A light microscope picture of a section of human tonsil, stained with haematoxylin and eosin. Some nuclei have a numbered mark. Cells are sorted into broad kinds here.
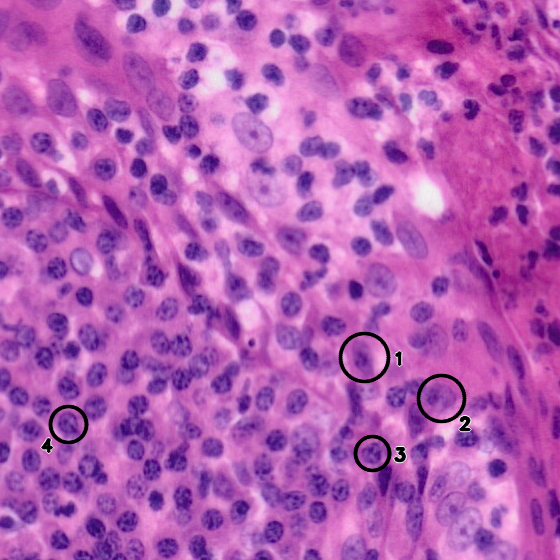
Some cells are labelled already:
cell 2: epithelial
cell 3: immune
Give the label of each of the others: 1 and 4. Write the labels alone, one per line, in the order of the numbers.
epithelial
immune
